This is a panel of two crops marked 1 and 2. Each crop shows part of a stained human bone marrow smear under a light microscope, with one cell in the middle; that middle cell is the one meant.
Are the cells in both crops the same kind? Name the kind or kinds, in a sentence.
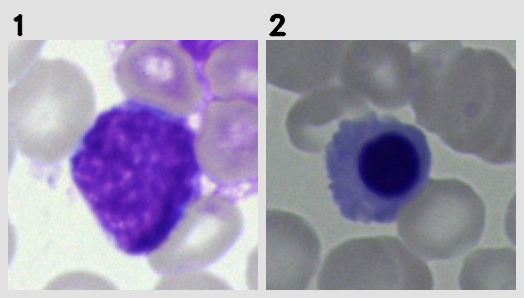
No, sorry, crop 1 shows a blast and crop 2 shows an erythroblast.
